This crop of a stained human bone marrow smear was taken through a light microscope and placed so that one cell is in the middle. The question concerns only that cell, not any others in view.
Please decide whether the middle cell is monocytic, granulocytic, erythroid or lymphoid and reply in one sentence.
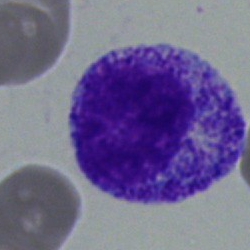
It is to the granulocytic lineage that the middle cell belongs.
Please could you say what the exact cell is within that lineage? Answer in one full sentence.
At the crop's centre, the cell is a myelocyte.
